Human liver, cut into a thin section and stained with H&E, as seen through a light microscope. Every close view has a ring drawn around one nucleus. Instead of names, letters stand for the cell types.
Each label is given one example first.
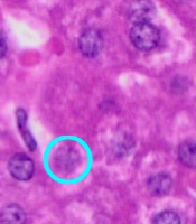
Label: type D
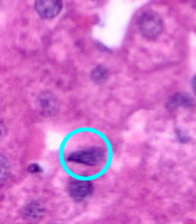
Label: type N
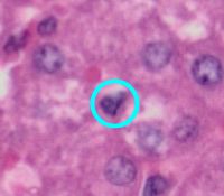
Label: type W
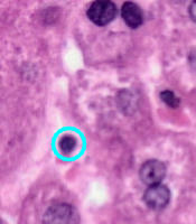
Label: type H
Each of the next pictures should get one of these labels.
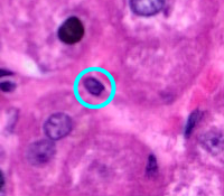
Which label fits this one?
type H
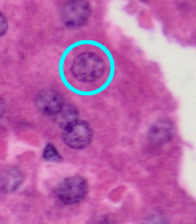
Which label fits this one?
type D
